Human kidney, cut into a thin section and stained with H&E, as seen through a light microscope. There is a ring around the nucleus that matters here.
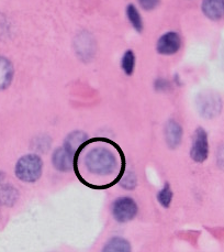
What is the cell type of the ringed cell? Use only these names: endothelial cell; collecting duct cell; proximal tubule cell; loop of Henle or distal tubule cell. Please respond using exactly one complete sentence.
It is as a collecting duct cell that the ringed cell is recorded.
